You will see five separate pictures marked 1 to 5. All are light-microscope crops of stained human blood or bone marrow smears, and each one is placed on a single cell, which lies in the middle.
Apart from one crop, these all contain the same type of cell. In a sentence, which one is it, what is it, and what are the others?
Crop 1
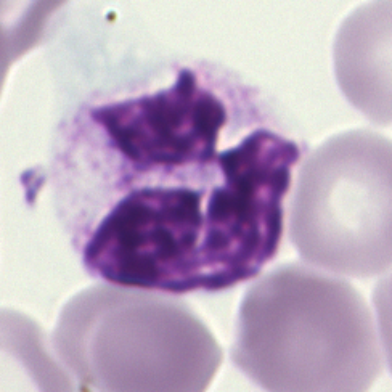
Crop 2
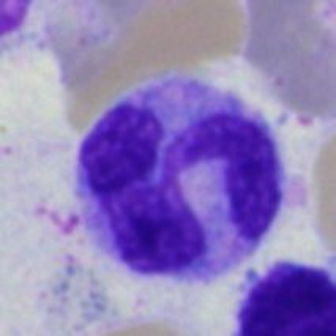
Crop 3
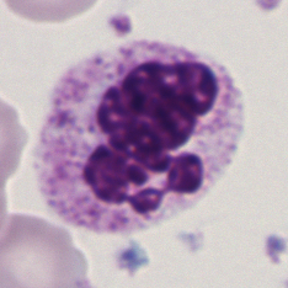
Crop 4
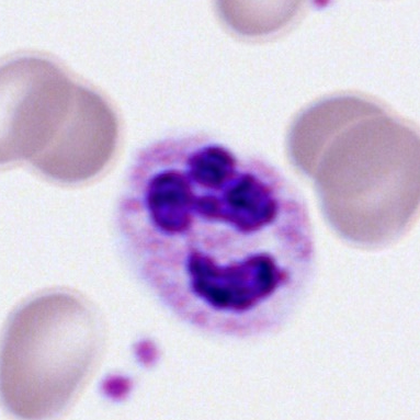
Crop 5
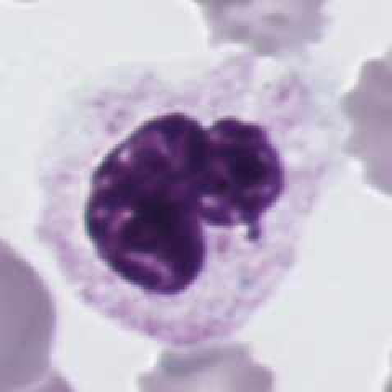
In contrast to the other crops, all of which show neutrophils, crop 2 shows a monocyte.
